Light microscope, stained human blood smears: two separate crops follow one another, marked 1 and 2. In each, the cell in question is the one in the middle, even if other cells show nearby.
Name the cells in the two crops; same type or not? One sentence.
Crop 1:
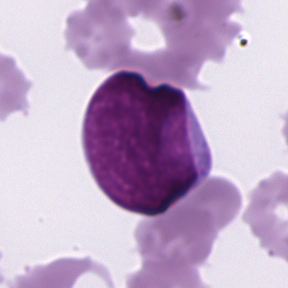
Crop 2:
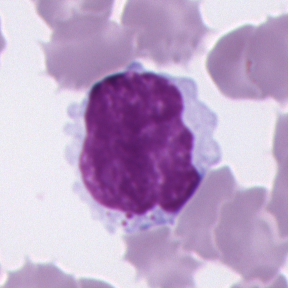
No, a blast is shown in crop 1 and a lymphocyte in crop 2.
